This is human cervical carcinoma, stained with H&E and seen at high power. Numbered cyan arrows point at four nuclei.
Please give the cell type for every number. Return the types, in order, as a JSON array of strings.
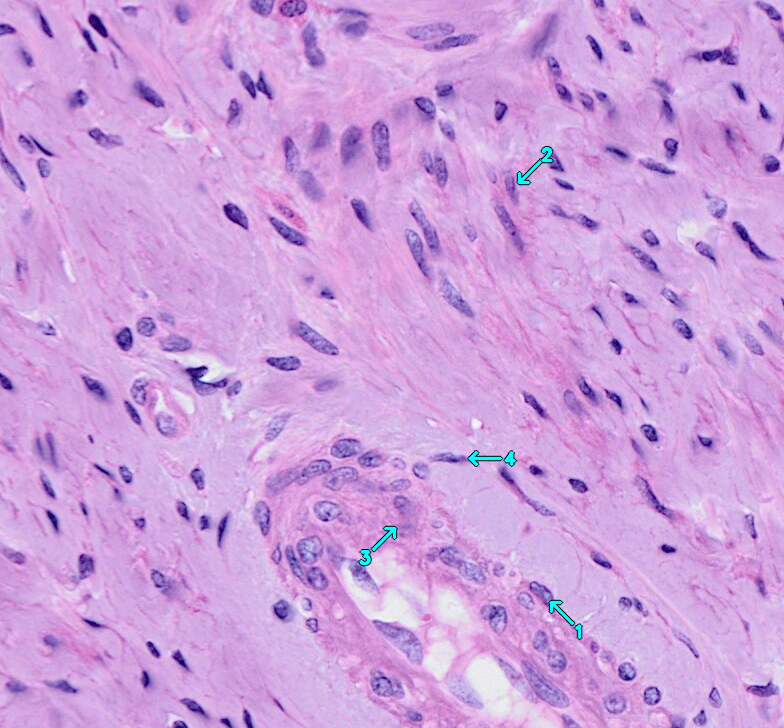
["smooth muscle cell", "smooth muscle cell", "smooth muscle cell", "fibroblast"]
